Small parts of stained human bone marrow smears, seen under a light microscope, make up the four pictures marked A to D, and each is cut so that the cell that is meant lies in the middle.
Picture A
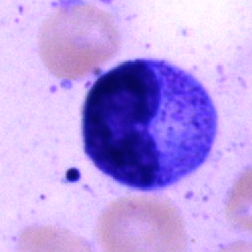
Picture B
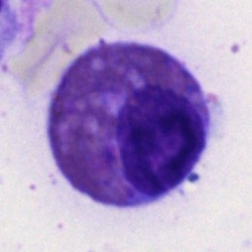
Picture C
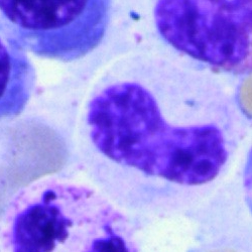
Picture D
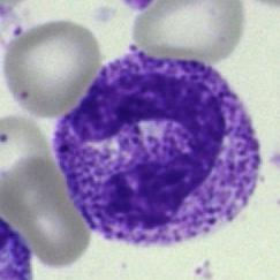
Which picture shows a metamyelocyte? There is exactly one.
A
